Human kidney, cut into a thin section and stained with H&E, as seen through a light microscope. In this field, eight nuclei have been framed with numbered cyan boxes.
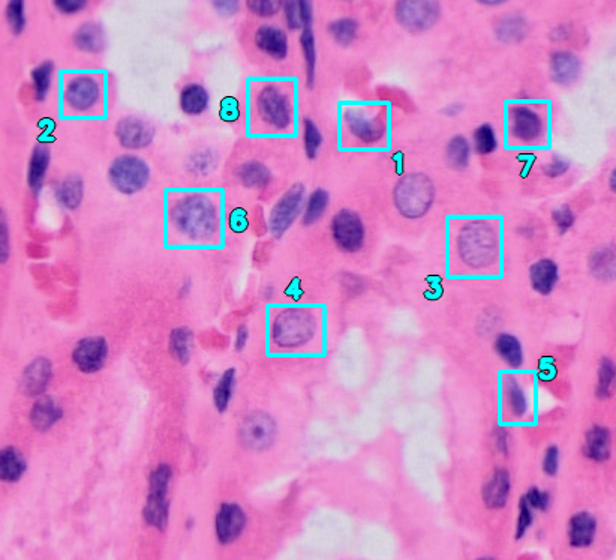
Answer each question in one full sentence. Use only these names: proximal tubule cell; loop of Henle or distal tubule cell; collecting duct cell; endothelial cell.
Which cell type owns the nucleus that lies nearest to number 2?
It is an endothelial cell whose nucleus is nearest to number 2.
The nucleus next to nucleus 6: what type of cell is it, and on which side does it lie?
It is a loop of Henle or distal tubule cell, whose nucleus lies above nucleus 6.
